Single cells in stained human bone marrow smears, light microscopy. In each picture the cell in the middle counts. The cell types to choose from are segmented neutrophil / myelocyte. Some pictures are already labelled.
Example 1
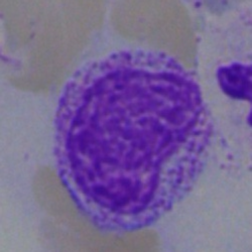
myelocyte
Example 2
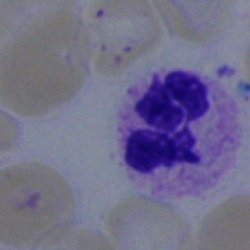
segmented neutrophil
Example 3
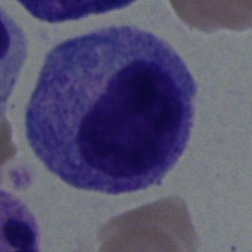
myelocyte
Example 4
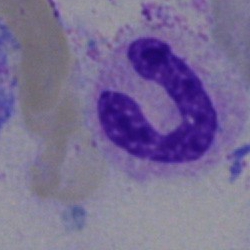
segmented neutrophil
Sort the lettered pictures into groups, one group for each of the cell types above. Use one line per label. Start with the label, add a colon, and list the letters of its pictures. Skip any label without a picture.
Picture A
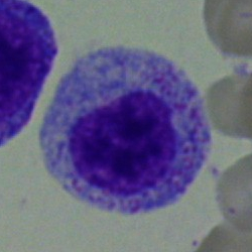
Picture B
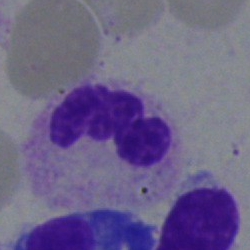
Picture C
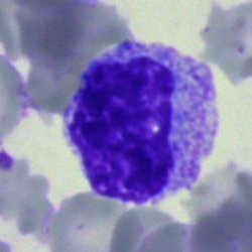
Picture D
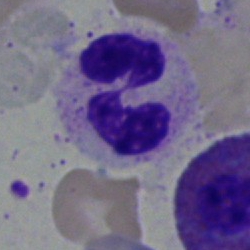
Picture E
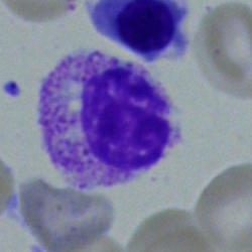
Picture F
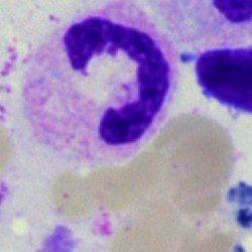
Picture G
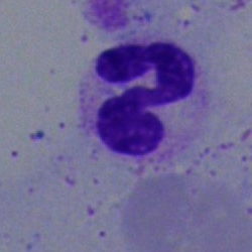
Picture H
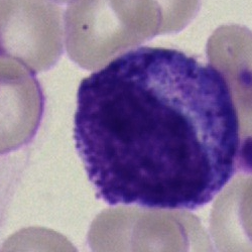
segmented neutrophil: B, D, F, G
myelocyte: A, C, E, H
